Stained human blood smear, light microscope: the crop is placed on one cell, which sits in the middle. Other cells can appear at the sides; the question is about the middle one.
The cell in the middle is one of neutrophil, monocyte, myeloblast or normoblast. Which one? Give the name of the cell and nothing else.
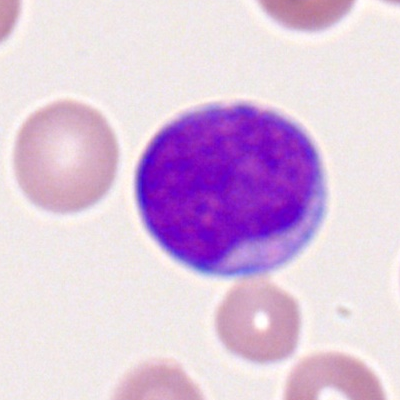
myeloblast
